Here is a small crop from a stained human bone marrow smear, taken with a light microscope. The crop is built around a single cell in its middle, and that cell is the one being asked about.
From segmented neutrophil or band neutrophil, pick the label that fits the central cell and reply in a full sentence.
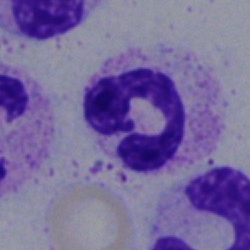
The target cell in the middle of the crop is a segmented neutrophil.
